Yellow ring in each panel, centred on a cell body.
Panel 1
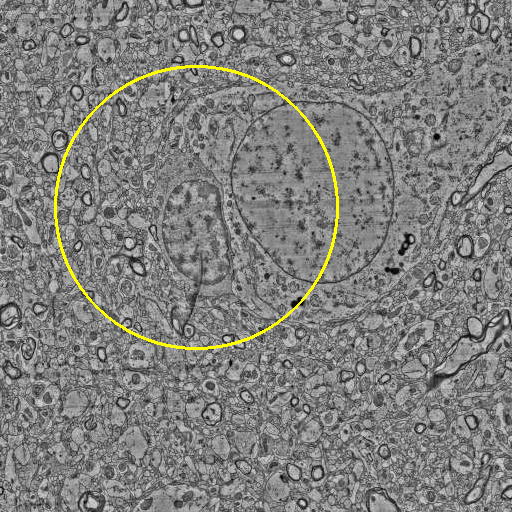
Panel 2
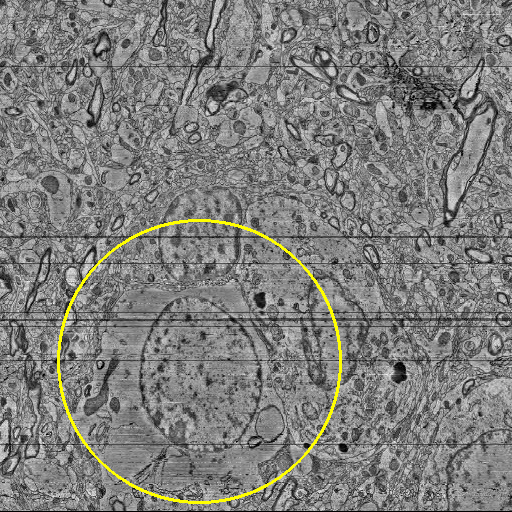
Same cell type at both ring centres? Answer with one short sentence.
No, the two cells are of two types.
